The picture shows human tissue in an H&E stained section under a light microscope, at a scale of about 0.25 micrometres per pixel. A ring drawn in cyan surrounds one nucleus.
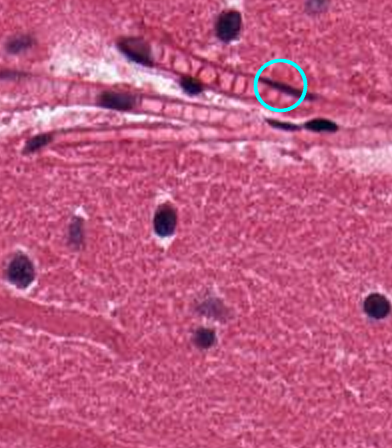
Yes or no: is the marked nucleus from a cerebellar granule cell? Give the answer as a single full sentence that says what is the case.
No, as for the marked nucleus, it belongs to a supporting cell and not to a cerebellar granule cell.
